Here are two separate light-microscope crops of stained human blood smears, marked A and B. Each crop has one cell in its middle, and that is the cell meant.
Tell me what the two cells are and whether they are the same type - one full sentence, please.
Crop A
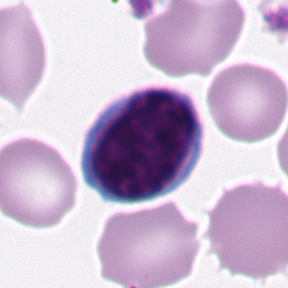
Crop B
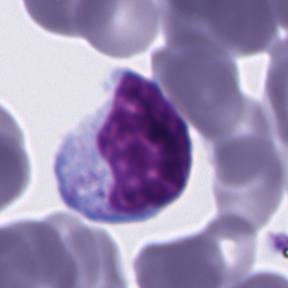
Yes, both crops have typical lymphocytes as their central cells.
